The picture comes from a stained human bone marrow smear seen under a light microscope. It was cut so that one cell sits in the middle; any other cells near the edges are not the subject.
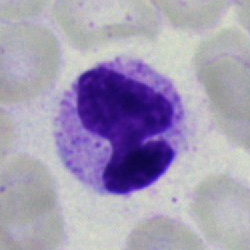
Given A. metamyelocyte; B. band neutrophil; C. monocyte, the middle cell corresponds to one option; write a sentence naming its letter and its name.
The central cell of the crop is a band neutrophil, which makes B the correct option.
